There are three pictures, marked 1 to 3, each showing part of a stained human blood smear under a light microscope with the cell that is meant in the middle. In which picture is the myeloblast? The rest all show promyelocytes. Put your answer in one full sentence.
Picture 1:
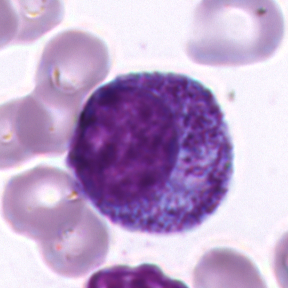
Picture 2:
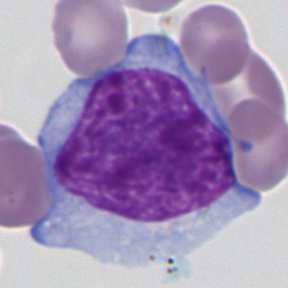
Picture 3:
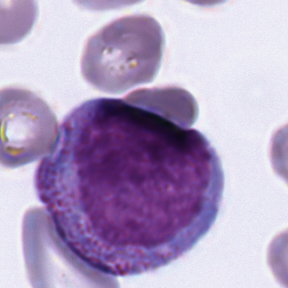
The cell in picture 2 is the myeloblast.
